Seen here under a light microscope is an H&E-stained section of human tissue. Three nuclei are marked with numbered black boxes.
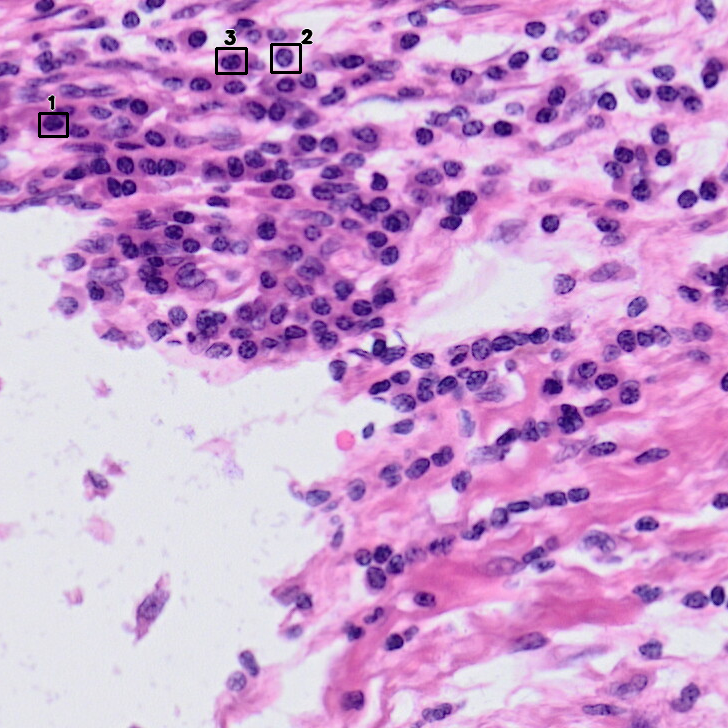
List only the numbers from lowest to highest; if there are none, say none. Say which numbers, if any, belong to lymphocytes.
2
